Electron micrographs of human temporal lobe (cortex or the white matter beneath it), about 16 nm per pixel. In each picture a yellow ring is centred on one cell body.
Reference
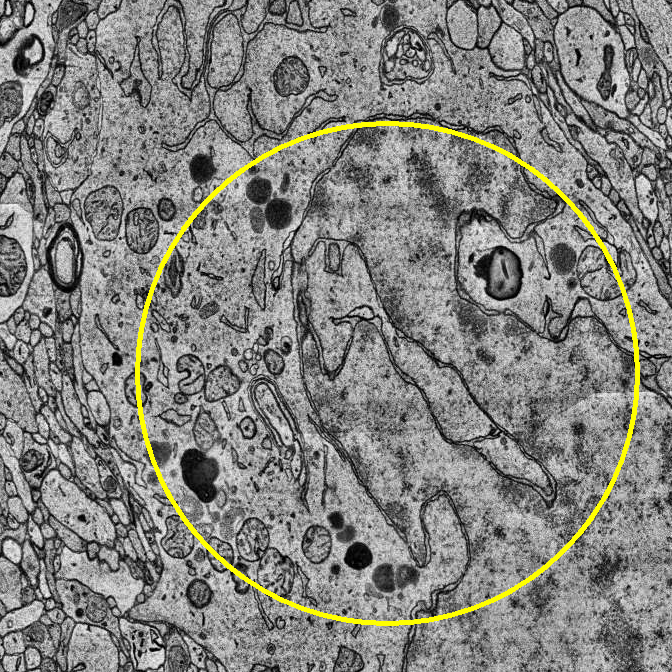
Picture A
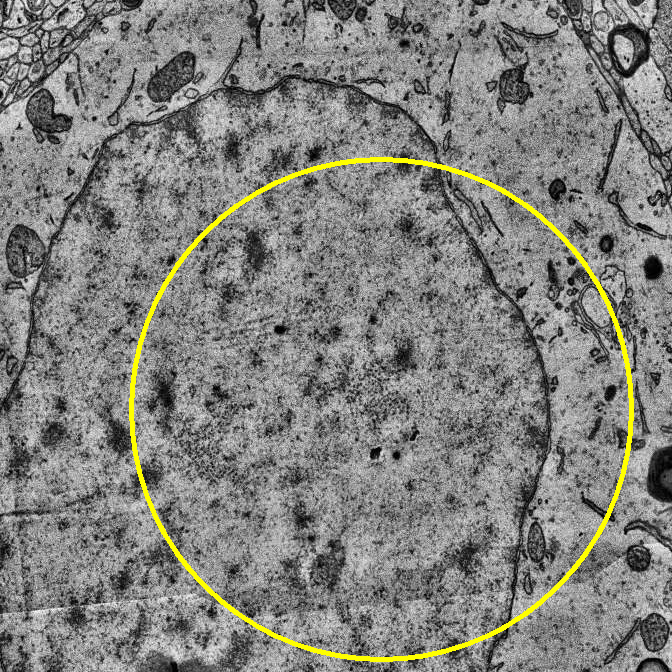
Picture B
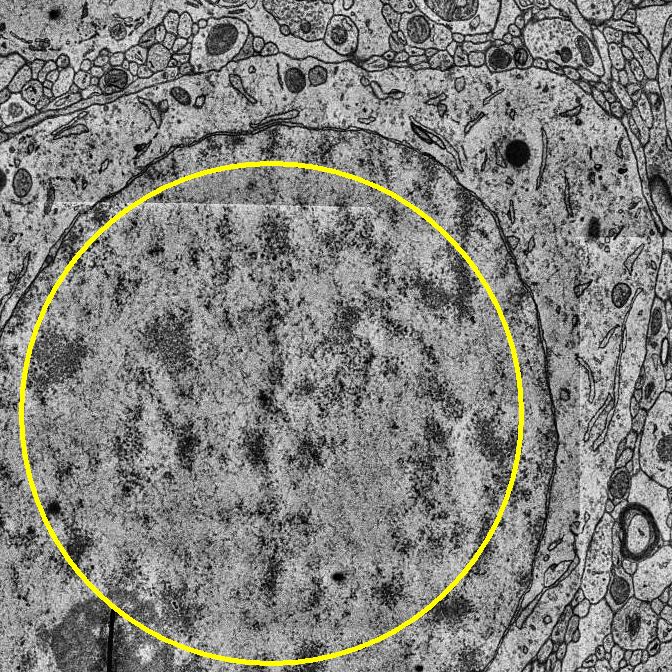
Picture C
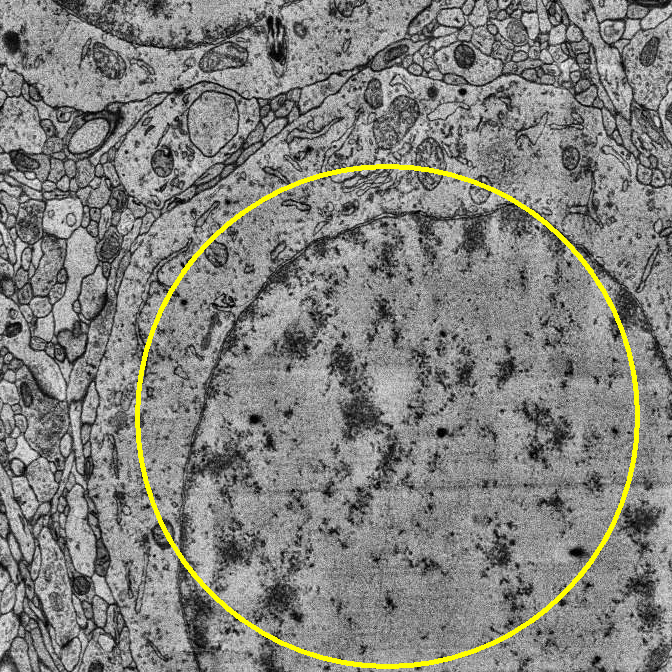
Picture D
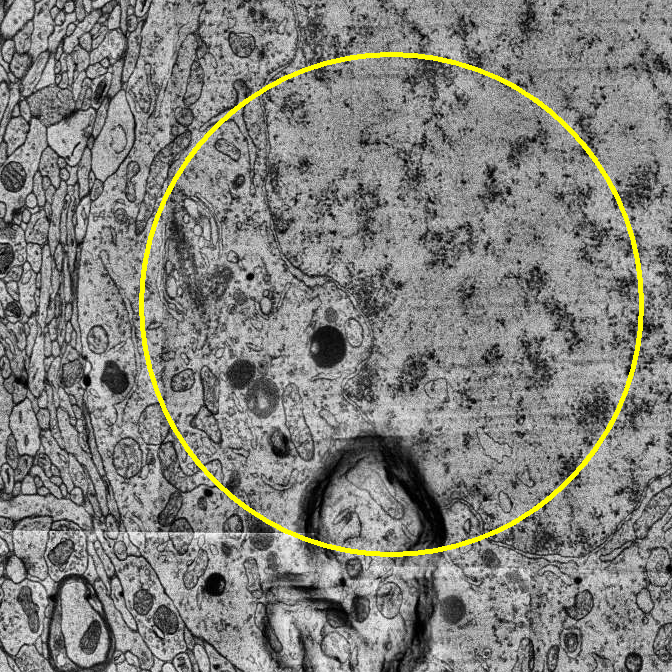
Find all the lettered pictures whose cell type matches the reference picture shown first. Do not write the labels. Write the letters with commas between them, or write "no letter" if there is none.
B, D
